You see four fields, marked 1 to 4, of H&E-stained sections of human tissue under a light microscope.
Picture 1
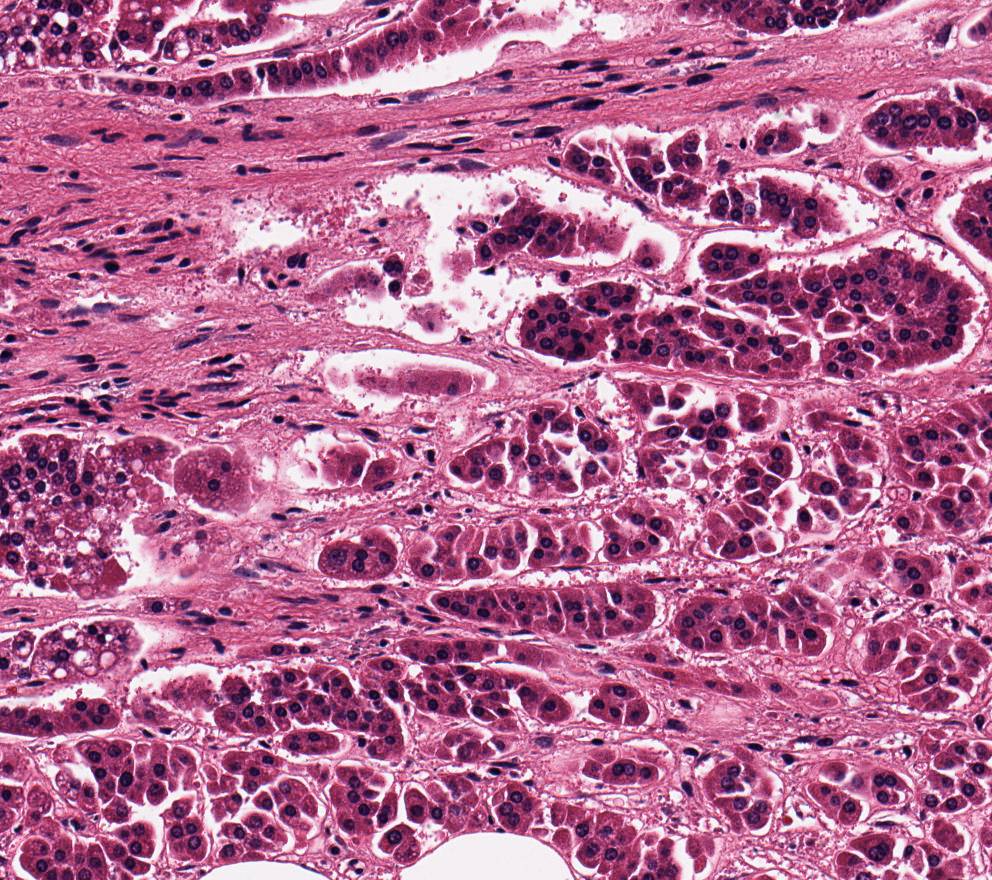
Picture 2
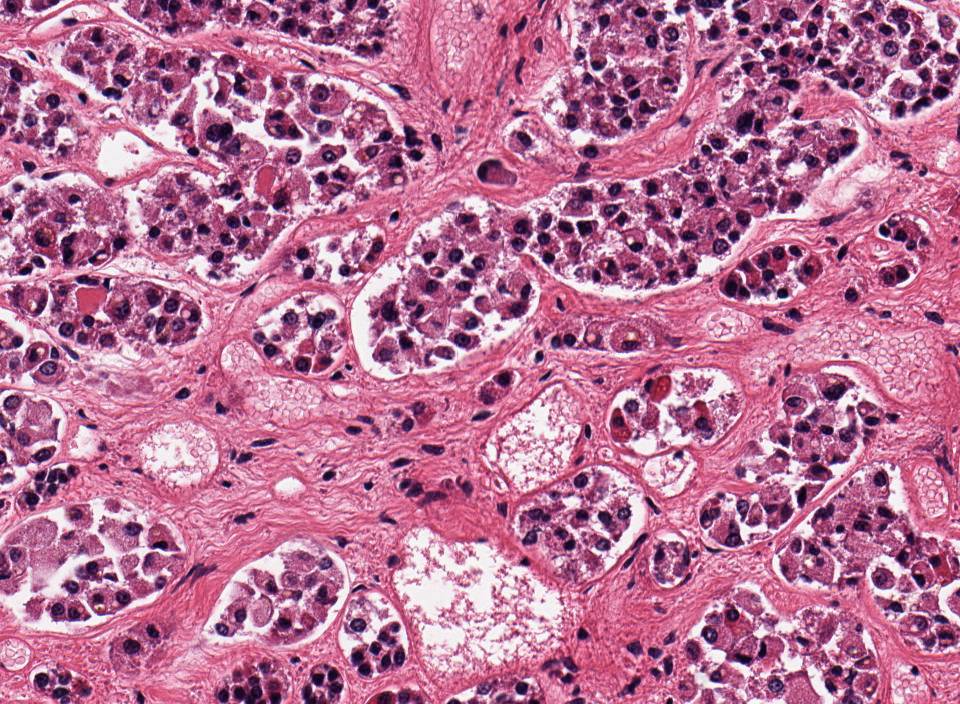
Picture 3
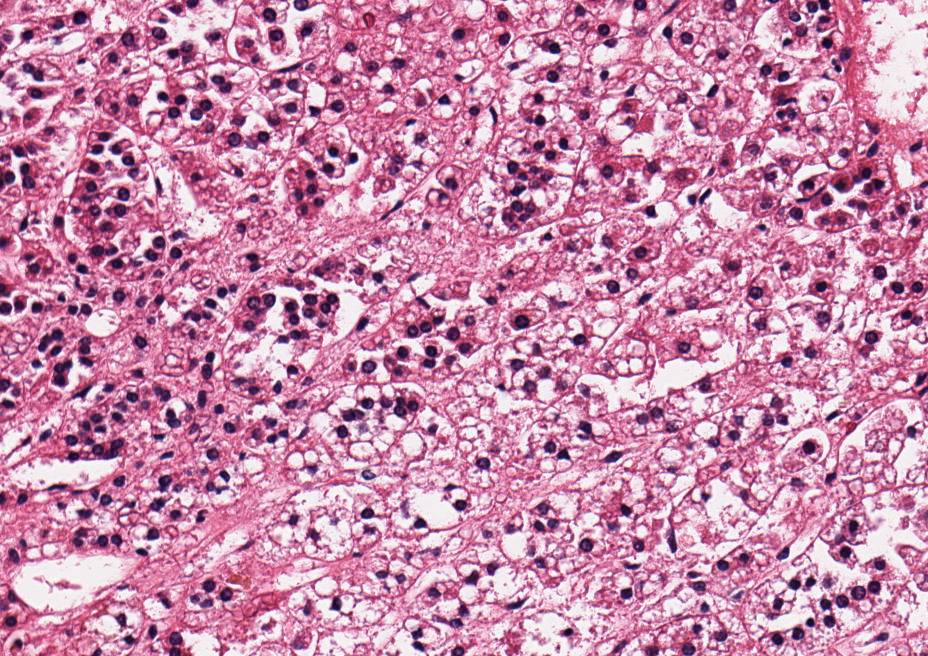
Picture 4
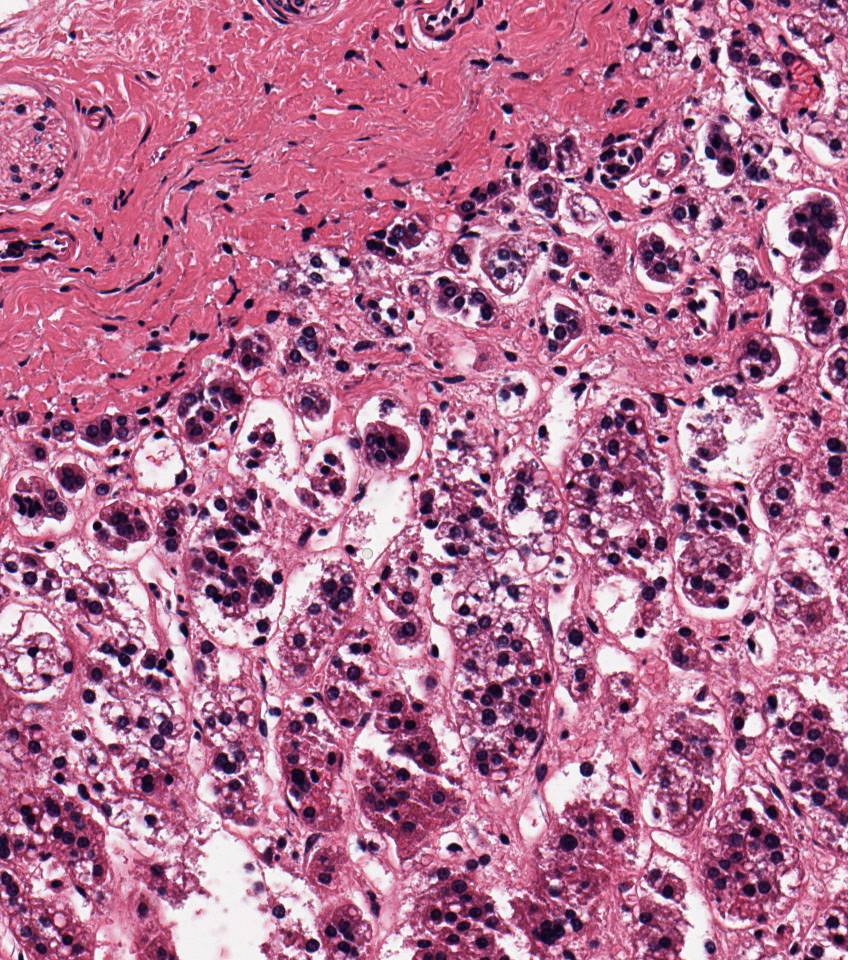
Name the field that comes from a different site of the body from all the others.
2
